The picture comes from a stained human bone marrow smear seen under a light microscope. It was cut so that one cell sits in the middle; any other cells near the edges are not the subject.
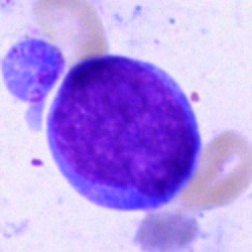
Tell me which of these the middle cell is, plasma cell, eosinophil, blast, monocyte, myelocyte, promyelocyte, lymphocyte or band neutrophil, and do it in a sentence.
The central cell shown in this smear crop is a blast.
